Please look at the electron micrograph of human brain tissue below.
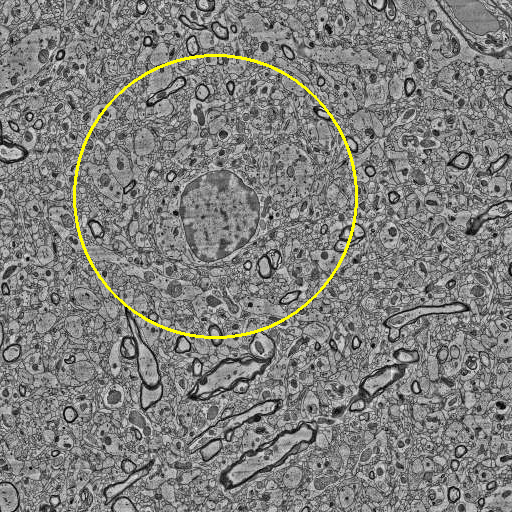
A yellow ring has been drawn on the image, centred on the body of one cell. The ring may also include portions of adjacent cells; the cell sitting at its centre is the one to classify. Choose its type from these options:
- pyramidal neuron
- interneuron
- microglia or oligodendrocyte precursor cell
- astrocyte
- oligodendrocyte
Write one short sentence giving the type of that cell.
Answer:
The cell in the middle of the ring is a microglial cell or oligodendrocyte precursor cell.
